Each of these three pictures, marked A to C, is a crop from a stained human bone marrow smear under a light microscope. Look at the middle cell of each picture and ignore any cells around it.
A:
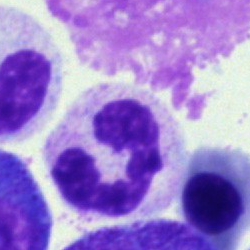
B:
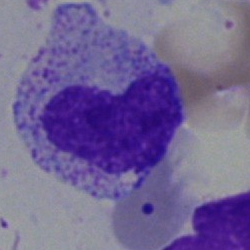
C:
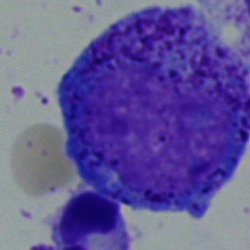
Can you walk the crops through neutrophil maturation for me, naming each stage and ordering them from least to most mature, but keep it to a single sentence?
The crops, ordered from least to most mature, are crop C (a promyelocyte), crop B (a metamyelocyte) and crop A (a segmented neutrophil).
